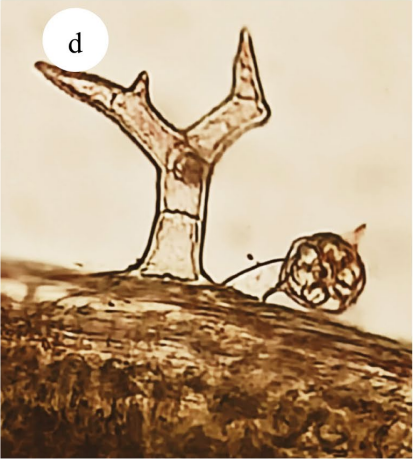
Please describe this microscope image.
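Here a branched, non glandular hair, a dendritic trichome, stands on the surface of the organ. Its short stalk consists of two cells, one above the other, and above them the hair splits into two arms in a Y shape. The arms taper to points and carry small pointed side spurs. Beside it lies a small round head made of several cells on a slender stalk, quite unlike the branched hair. The underlying surface appears dark and out of focus.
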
